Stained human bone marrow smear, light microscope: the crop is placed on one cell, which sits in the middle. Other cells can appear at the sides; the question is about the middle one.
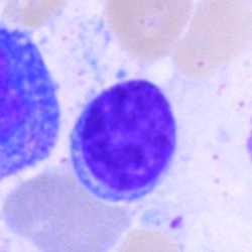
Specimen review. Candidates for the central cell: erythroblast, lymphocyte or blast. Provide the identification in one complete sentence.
Looking at the middle of the crop, the cell there is a lymphocyte.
